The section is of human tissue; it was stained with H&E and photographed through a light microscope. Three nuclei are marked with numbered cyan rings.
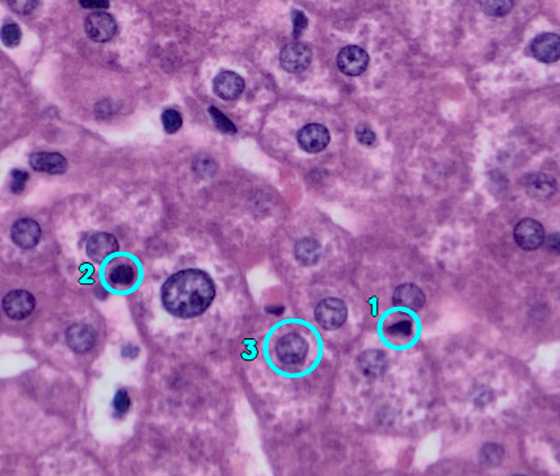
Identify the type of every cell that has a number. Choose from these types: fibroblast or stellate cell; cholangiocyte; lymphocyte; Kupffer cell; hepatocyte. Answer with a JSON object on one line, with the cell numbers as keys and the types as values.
{"1": "fibroblast or stellate cell", "2": "fibroblast or stellate cell", "3": "hepatocyte"}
